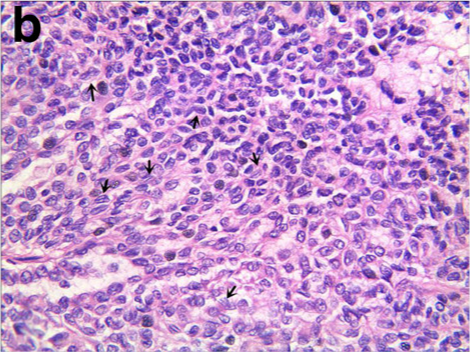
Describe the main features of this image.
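These are crowded tumor cells lying in sheets with thin strands of pale pink stroma between them. The nuclei are oval to round, dark purple, fairly uniform and closely packed, with a small rim of pale pink cytoplasm. Several nuclei show a fine dark line running lengthwise across them, a nuclear groove, and the arrows point to such nuclei. Scattered clear, pale spaces break up the sheets in places.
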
